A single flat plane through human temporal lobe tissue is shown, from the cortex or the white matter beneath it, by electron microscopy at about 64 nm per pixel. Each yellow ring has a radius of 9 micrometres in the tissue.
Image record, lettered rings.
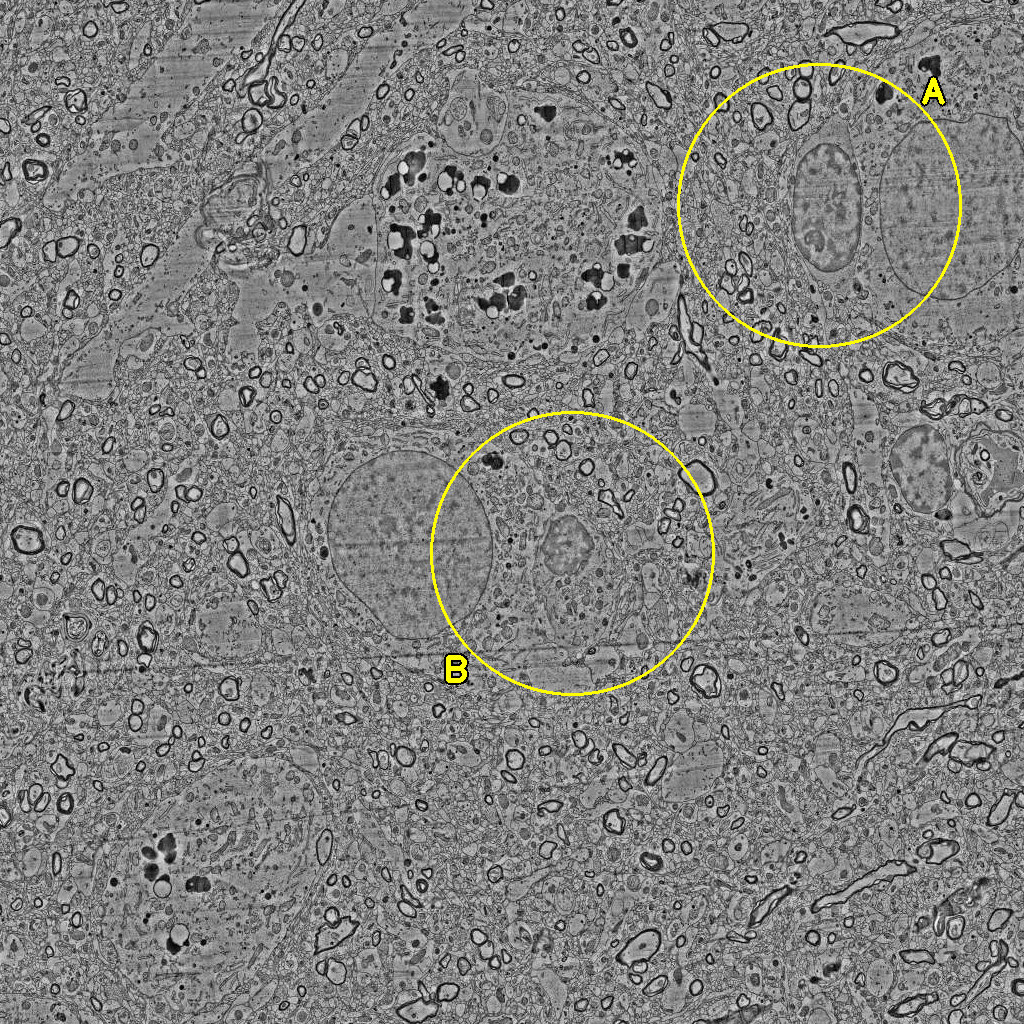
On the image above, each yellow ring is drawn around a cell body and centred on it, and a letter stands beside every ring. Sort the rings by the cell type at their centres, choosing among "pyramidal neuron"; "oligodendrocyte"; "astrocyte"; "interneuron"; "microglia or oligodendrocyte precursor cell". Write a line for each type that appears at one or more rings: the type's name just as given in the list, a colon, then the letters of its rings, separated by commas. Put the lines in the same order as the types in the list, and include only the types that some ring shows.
oligodendrocyte: A, B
